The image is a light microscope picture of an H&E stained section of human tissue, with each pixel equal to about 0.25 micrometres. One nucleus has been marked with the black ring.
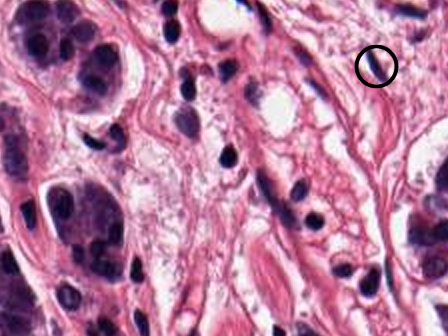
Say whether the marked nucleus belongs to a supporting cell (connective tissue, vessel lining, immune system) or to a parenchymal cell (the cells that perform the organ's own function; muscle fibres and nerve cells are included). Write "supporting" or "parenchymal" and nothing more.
supporting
